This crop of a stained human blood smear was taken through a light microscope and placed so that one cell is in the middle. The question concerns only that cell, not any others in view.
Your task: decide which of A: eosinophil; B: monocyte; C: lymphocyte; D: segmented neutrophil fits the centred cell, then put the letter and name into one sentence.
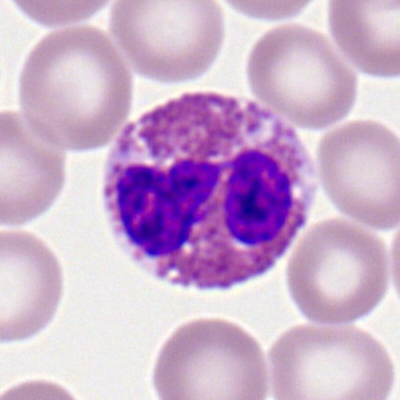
Option A correctly states that the central cell is an eosinophil.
